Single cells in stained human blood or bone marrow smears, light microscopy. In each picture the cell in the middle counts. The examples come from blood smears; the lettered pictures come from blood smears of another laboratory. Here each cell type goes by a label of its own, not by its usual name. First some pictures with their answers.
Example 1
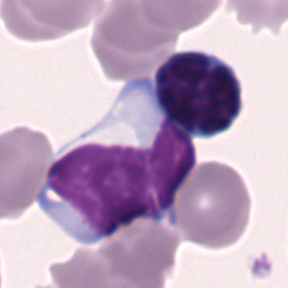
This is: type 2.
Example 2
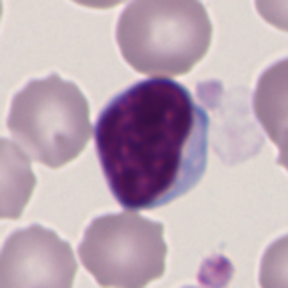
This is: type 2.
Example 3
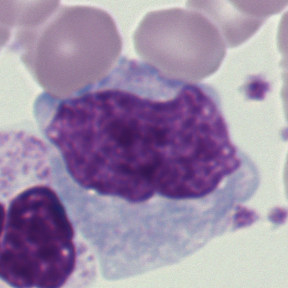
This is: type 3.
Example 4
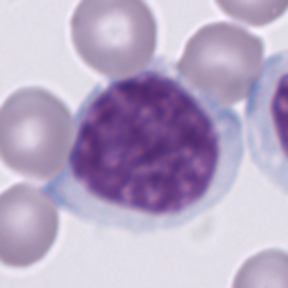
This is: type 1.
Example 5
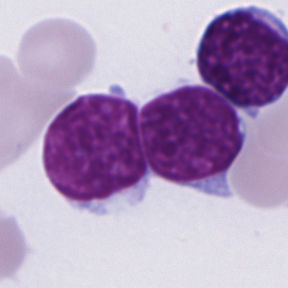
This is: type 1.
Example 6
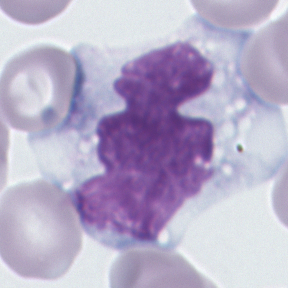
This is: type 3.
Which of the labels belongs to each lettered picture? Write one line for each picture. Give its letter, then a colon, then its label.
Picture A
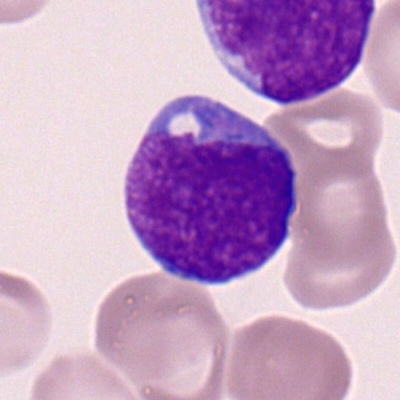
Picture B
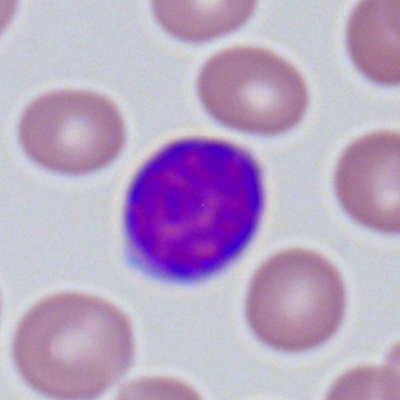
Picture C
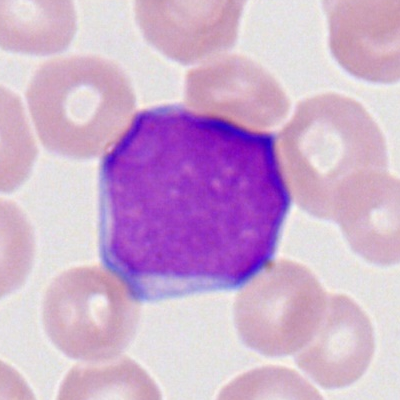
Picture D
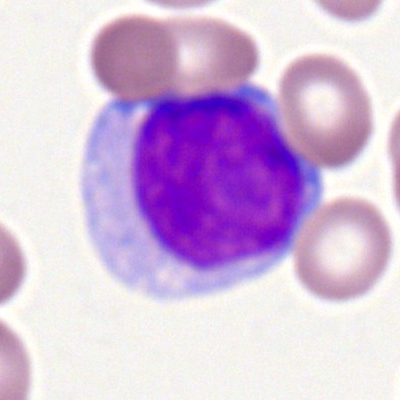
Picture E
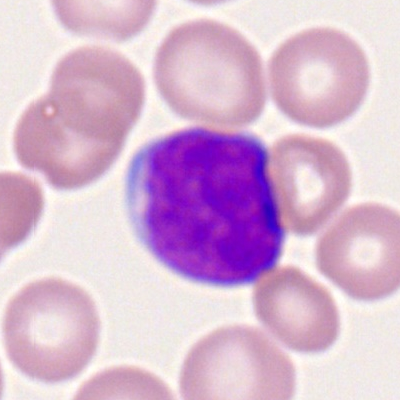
A: type 1.
B: type 2.
C: type 1.
D: type 1.
E: type 1.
